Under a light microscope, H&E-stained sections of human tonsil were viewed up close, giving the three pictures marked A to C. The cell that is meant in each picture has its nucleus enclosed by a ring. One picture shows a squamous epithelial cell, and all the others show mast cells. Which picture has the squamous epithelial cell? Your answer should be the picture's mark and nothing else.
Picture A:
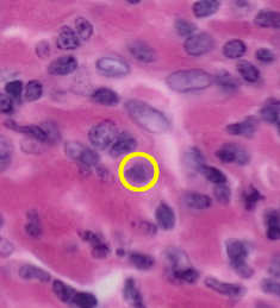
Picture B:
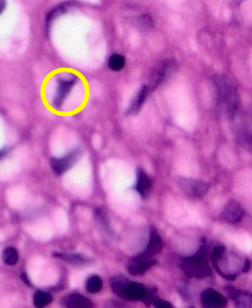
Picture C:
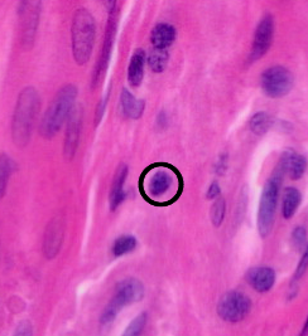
B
